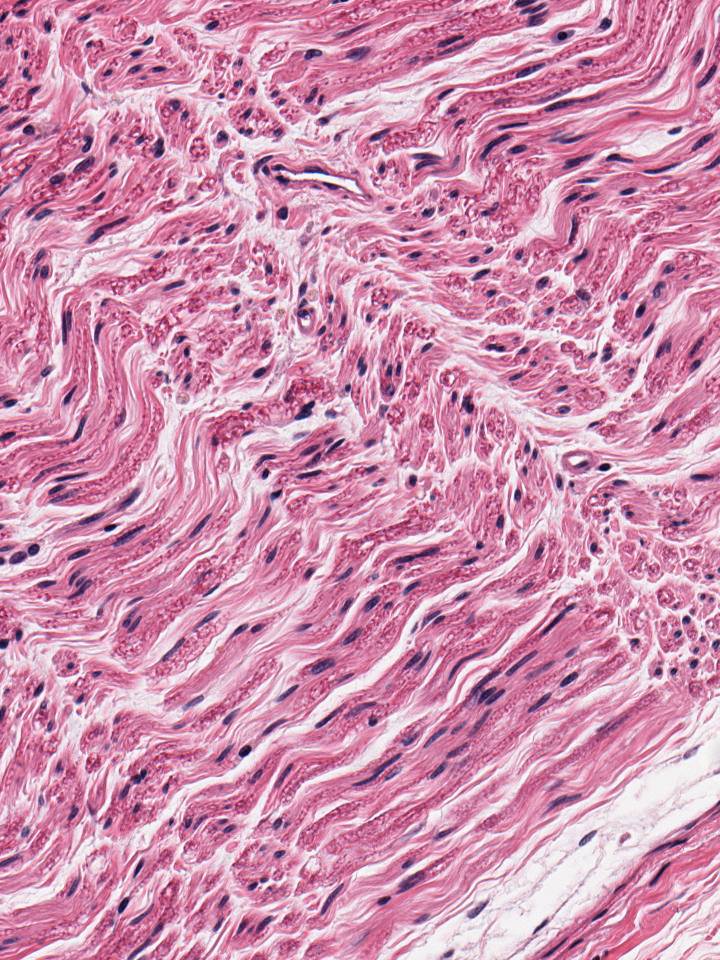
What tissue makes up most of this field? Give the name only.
nerve fascicle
